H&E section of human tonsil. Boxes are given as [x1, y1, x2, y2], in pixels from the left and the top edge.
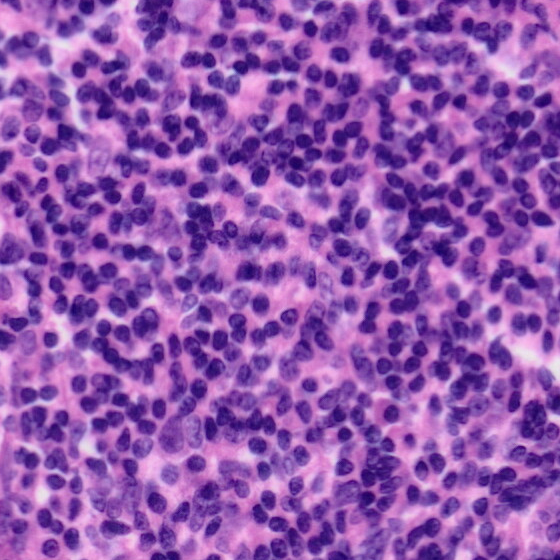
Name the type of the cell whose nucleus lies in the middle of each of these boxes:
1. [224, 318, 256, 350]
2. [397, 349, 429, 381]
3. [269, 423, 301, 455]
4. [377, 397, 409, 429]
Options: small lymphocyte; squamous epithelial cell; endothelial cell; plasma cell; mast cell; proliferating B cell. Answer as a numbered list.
1. small lymphocyte
2. small lymphocyte
3. small lymphocyte
4. plasma cell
